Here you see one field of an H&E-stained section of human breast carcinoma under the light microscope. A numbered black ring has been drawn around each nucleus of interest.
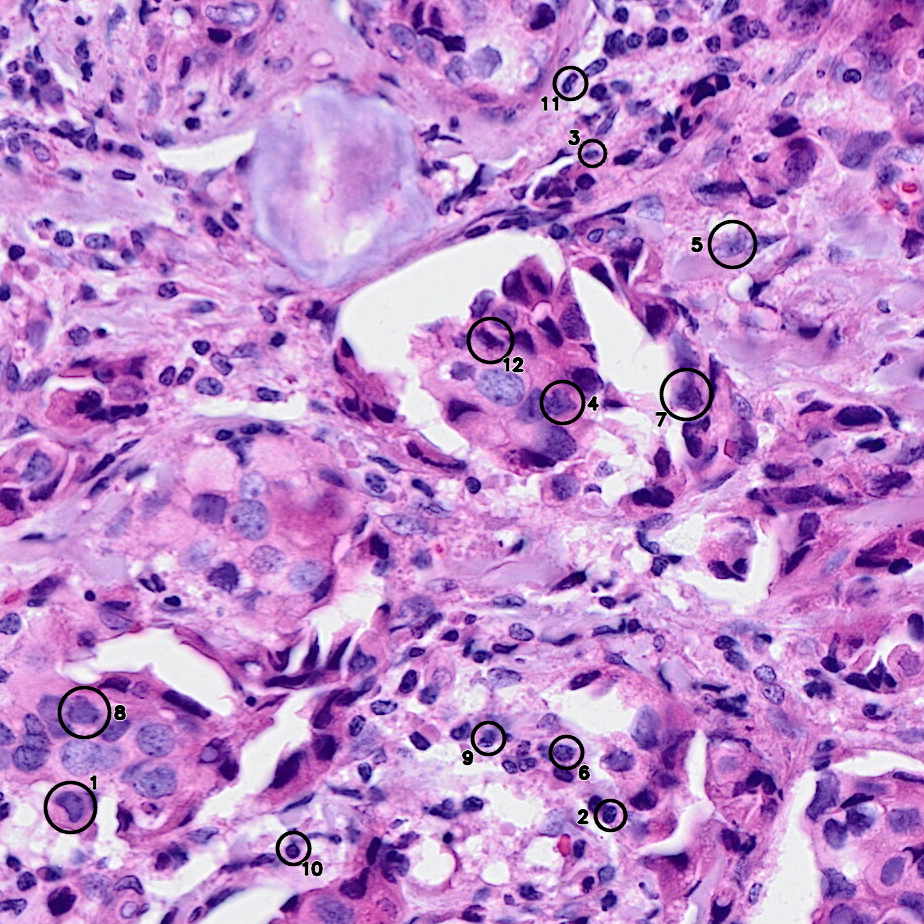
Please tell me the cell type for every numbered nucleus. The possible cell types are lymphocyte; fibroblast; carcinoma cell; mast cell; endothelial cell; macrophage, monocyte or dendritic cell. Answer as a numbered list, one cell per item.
1. carcinoma cell
2. lymphocyte
3. lymphocyte
4. carcinoma cell
5. fibroblast
6. lymphocyte
7. carcinoma cell
8. carcinoma cell
9. lymphocyte
10. lymphocyte
11. lymphocyte
12. carcinoma cell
